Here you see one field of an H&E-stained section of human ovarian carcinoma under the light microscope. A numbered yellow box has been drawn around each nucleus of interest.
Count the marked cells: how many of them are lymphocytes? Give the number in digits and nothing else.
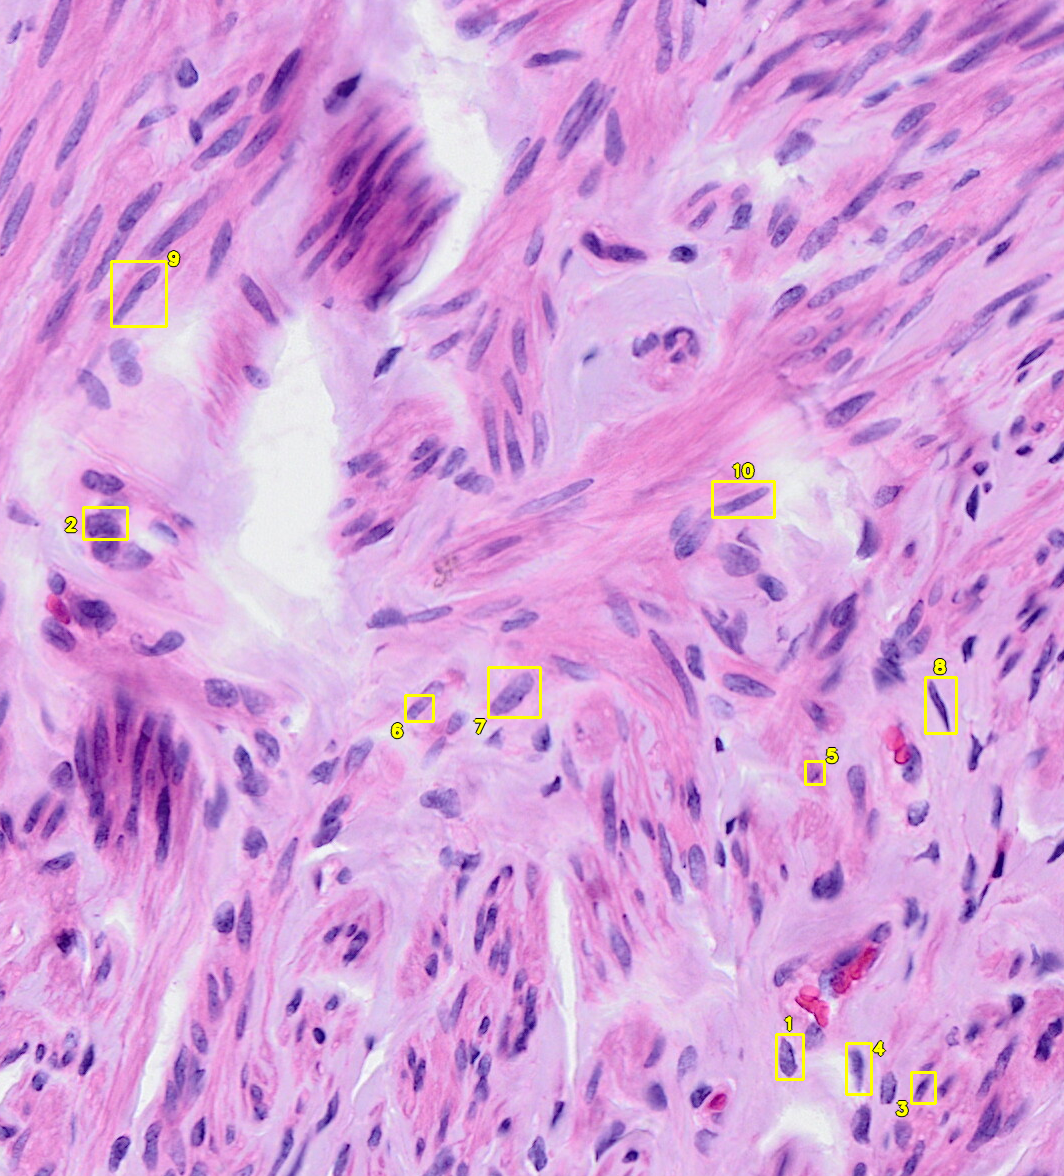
0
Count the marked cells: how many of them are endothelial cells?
1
